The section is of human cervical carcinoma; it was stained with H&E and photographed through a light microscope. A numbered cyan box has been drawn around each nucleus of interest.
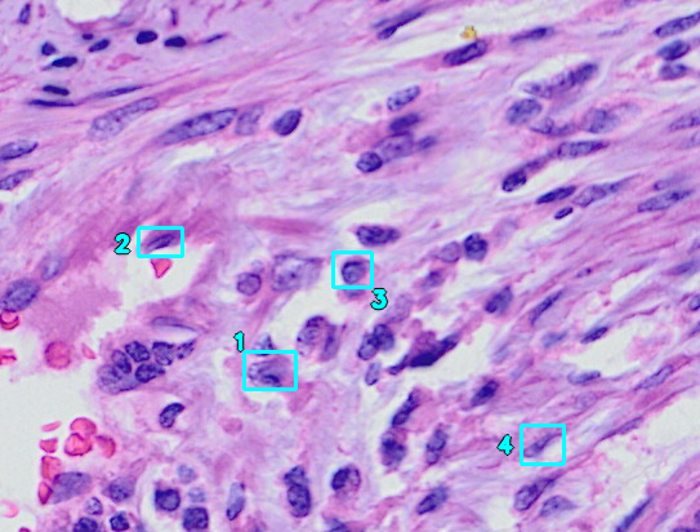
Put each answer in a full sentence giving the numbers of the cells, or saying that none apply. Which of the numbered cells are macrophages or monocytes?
Only nucleus 1 belongs to a macrophage or monocyte; the other numbered nuclei do not.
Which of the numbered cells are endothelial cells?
Only the cell numbered 2 is an endothelial cell, and the others are something else.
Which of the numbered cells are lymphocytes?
Cell 3 is a lymphocyte, while all remaining marked cells are of other types.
